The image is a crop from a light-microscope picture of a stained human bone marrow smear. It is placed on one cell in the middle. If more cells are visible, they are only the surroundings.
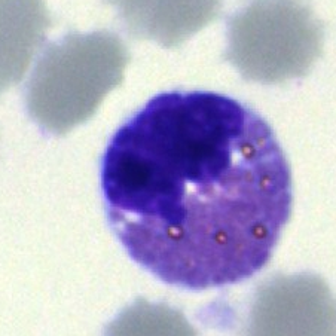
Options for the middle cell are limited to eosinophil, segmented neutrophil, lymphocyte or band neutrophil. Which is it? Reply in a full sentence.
The cell in the exact centre of the crop is an eosinophil.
